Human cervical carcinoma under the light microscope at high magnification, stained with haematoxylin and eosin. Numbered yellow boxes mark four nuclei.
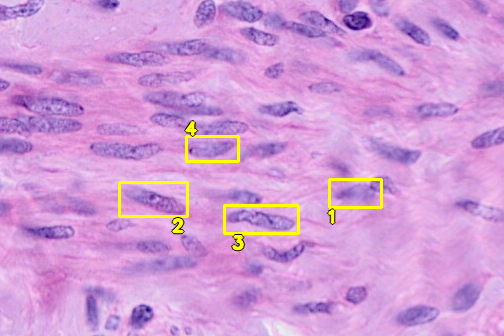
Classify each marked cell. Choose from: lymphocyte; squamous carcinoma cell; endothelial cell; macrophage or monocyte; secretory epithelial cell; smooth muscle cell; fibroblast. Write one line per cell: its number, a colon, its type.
1: fibroblast
2: smooth muscle cell
3: smooth muscle cell
4: smooth muscle cell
